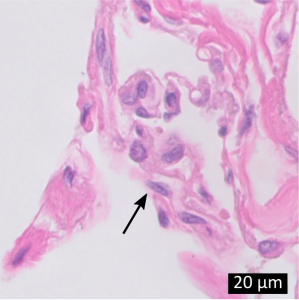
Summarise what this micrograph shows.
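This is lung with a thickened alveolar wall: broad bands of pale pink fibrous tissue run through the field instead of thin septa. Within the widened wall sits a cluster of cells with purple oval nuclei, and some cells with flattened nuclei lie along its edge, bordered by empty white air space.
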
